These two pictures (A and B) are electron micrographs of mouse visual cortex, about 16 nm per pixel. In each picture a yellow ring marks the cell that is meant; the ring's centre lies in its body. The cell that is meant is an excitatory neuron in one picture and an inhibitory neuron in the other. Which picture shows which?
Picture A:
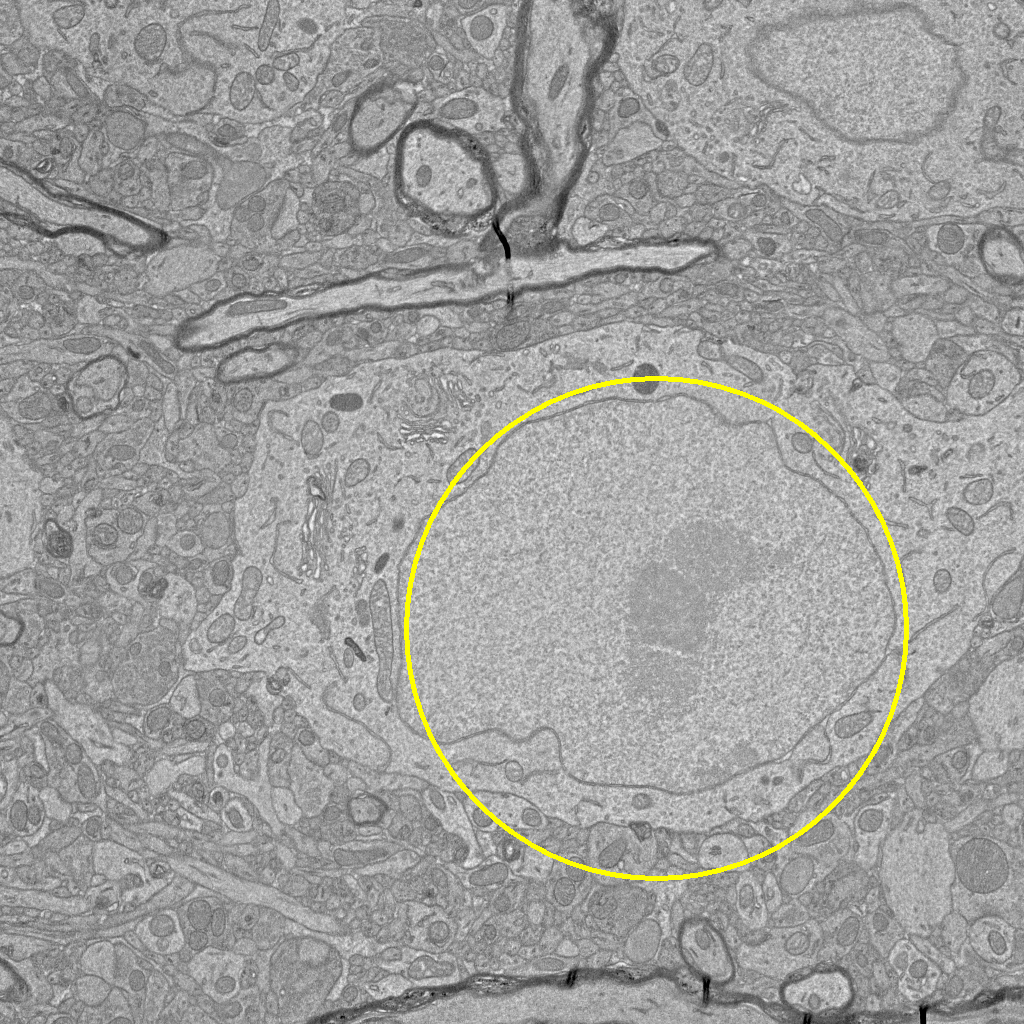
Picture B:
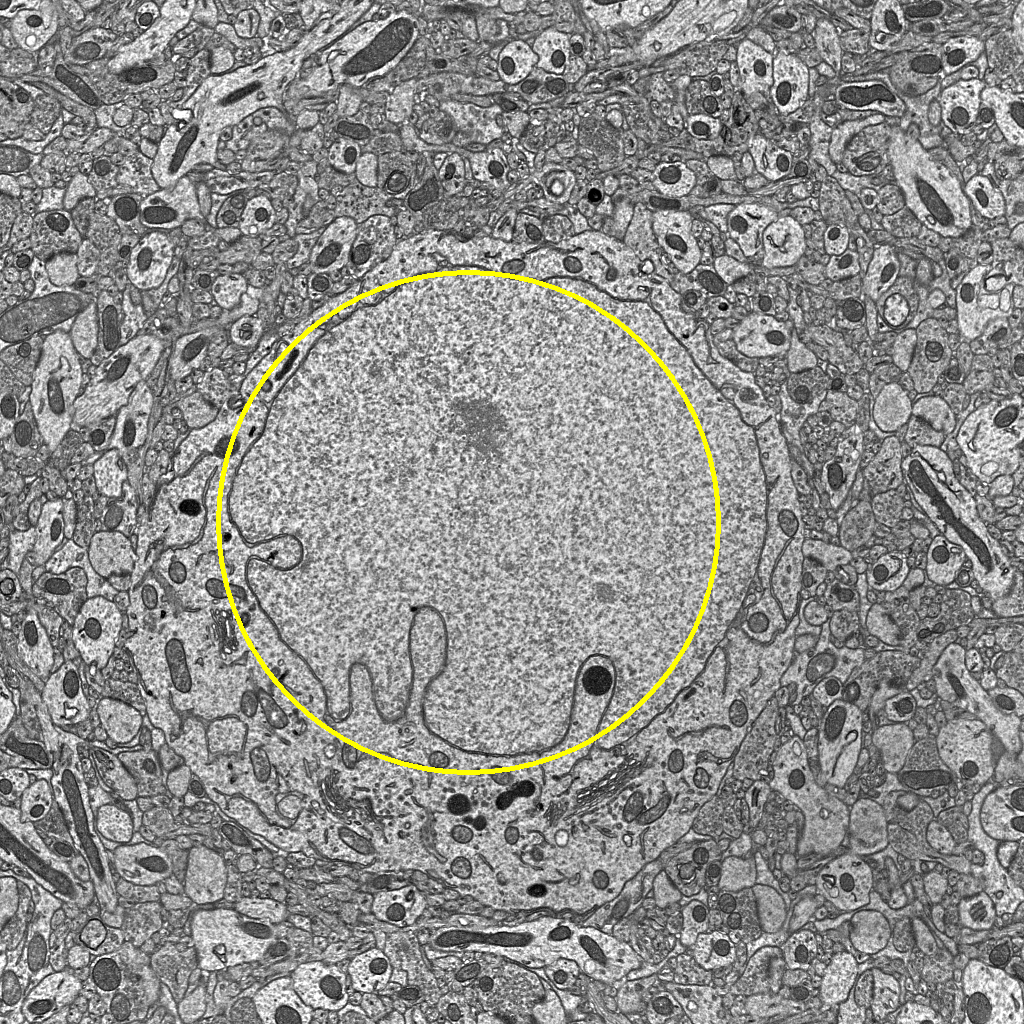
Picture B shows an inhibitory neuron, while picture A shows an excitatory neuron.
